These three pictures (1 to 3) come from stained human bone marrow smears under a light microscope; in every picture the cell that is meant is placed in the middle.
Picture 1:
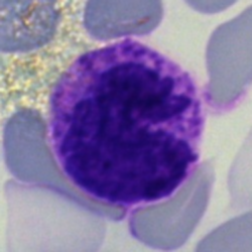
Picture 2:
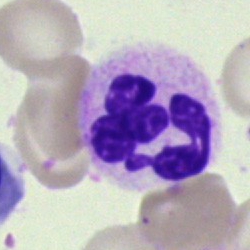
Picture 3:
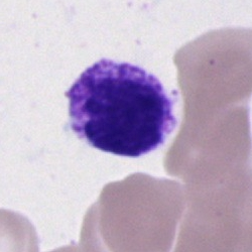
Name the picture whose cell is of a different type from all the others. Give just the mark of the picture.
2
